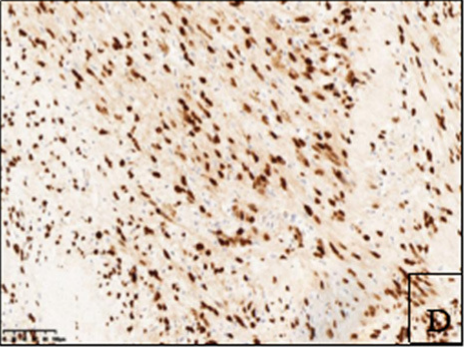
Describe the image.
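The nuclei are slender and oriented in loose streaming rows and fascicles. Most nuclei across the field are brown, with a few paler blue nuclei between them. The cytoplasm is faint and the cell borders are not distinct.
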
